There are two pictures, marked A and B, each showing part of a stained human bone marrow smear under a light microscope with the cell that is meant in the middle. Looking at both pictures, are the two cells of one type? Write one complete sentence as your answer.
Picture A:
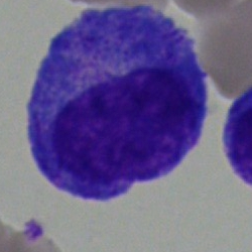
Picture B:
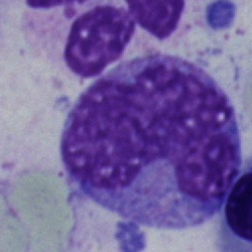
No; the cell in picture A is a promyelocyte, while the one in picture B is a monocyte.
